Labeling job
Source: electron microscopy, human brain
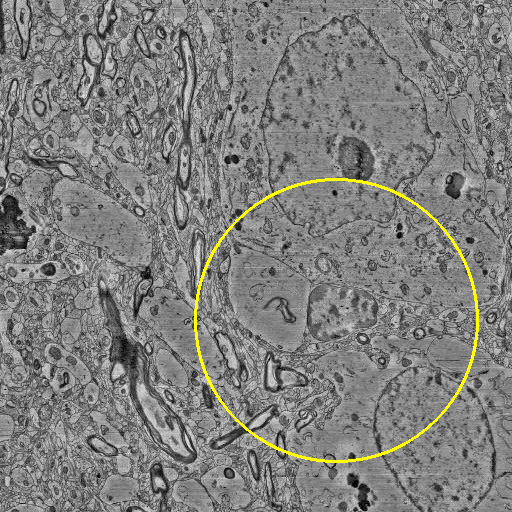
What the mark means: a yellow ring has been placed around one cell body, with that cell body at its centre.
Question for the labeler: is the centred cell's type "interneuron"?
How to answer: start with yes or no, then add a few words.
No, its type is another one.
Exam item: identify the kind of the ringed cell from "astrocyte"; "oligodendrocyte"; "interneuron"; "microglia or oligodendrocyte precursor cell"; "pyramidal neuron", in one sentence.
The ringed cell in this picture is, instead, a microglial cell or oligodendrocyte precursor cell.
